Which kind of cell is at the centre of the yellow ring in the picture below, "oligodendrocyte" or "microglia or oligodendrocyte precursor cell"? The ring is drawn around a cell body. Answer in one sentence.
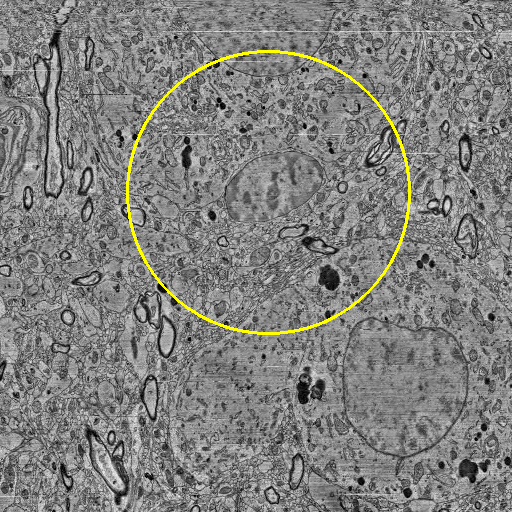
The ring's central cell is a microglial cell or oligodendrocyte precursor cell.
